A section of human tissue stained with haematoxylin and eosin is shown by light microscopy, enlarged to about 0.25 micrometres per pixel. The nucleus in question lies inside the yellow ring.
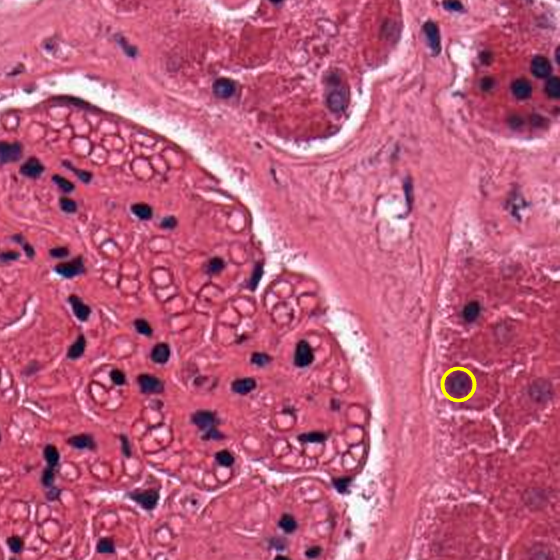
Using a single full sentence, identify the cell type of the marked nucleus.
The owner of the marked nucleus is a proximal tubule cell.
